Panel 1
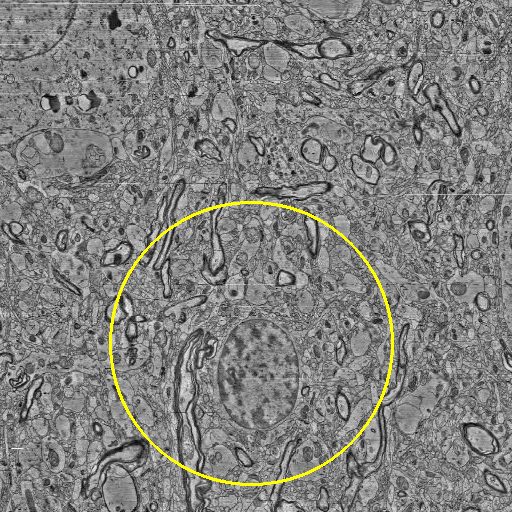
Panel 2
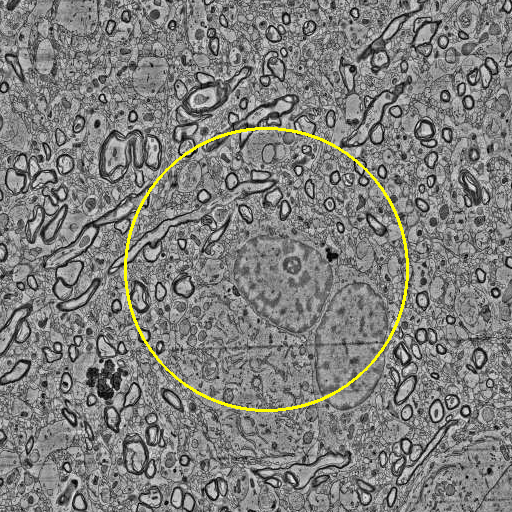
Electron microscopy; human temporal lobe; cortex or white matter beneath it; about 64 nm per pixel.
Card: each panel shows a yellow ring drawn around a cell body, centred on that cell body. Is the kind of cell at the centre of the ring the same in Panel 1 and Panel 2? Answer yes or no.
yes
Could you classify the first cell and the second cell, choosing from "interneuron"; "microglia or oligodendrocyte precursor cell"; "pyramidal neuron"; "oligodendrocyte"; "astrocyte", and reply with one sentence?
In both pictures the ring is centred on an oligodendrocyte.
